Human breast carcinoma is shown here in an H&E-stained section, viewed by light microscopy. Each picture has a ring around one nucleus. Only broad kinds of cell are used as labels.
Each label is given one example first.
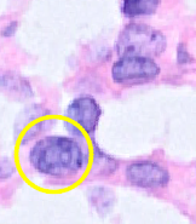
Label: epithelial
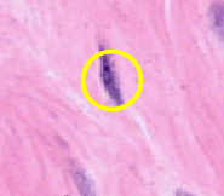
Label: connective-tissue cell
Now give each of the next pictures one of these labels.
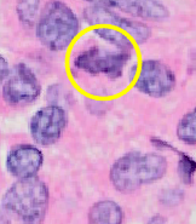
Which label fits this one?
epithelial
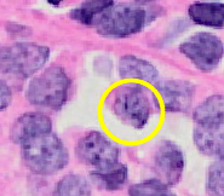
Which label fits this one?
epithelial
